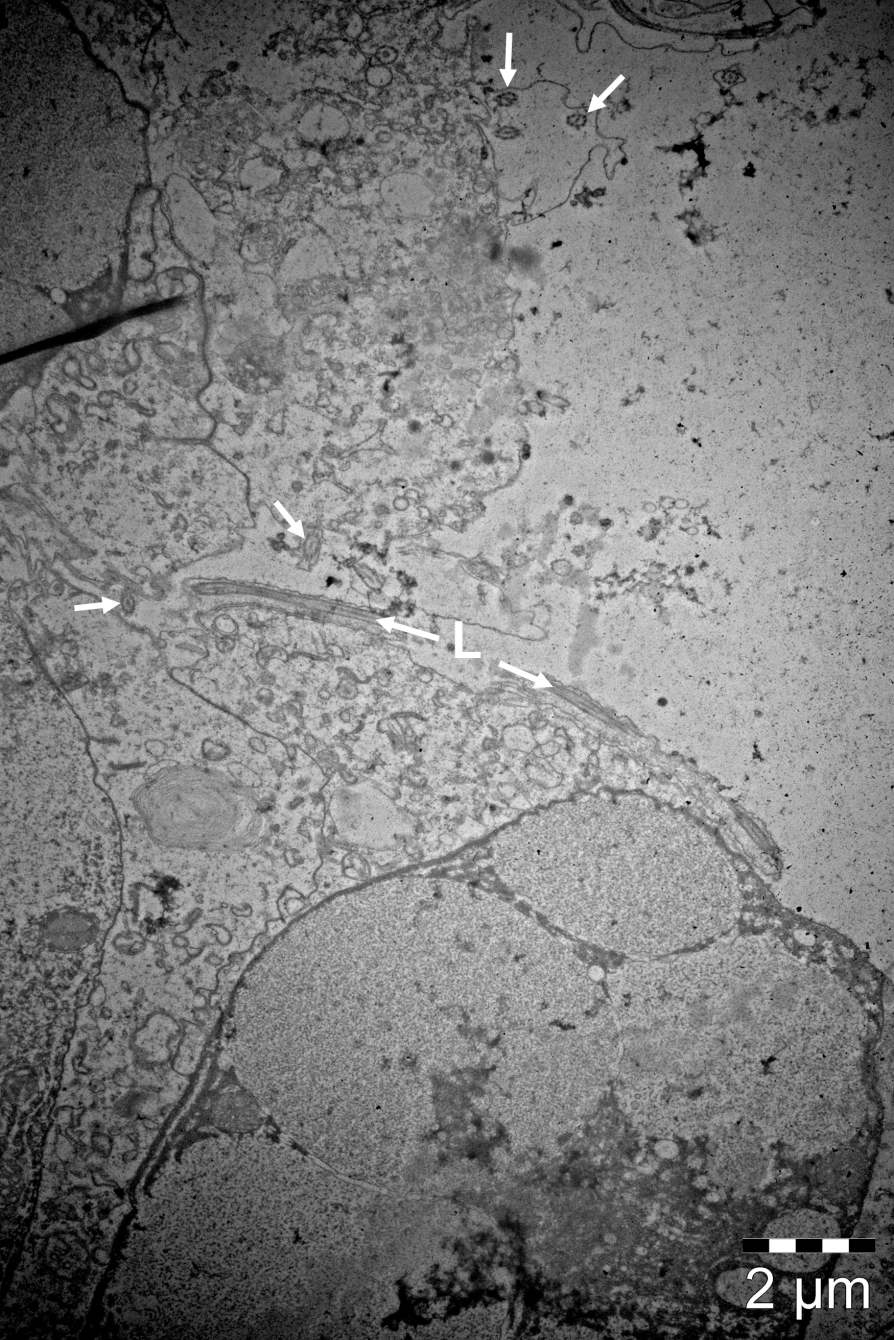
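Cut across, the cilia are small round profiles with a ring of dense dots around a centre, lying at the cell edge and in the open space beside it. One cilium cut lengthwise runs as a long, thin, straight rod with parallel dense lines along the surface of a cell.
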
